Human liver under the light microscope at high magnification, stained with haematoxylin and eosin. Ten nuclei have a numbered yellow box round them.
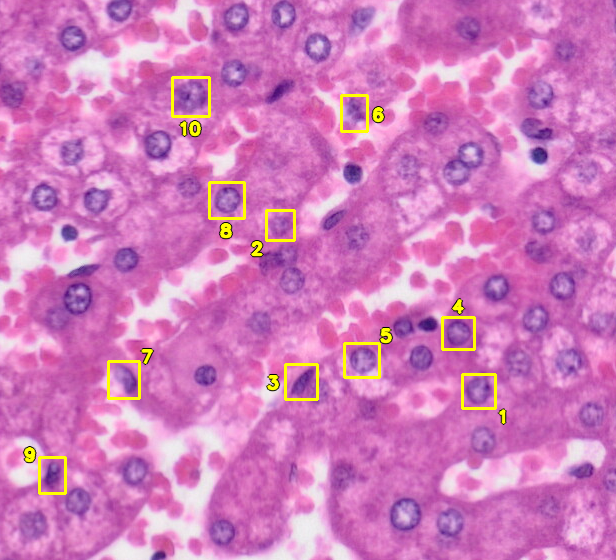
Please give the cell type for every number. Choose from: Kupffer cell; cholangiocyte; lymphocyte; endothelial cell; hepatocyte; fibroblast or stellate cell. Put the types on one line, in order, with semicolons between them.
hepatocyte; hepatocyte; fibroblast or stellate cell; hepatocyte; hepatocyte; endothelial cell; Kupffer cell; hepatocyte; fibroblast or stellate cell; hepatocyte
